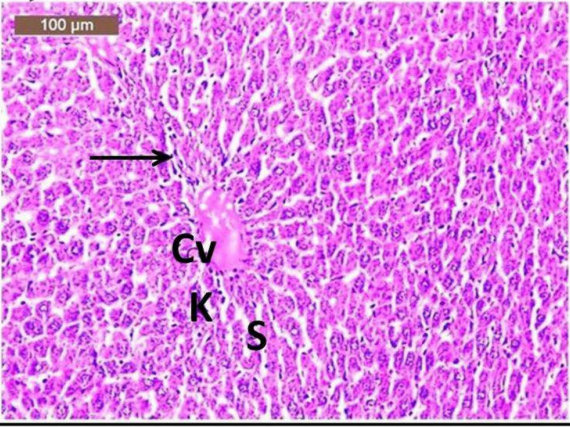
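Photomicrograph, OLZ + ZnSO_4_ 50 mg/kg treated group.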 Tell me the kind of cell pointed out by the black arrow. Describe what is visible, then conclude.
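Inflammatory cells. Small dark nuclei gathered near the vessel at the centre. They are much smaller than the surrounding pink polygonal cells.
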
